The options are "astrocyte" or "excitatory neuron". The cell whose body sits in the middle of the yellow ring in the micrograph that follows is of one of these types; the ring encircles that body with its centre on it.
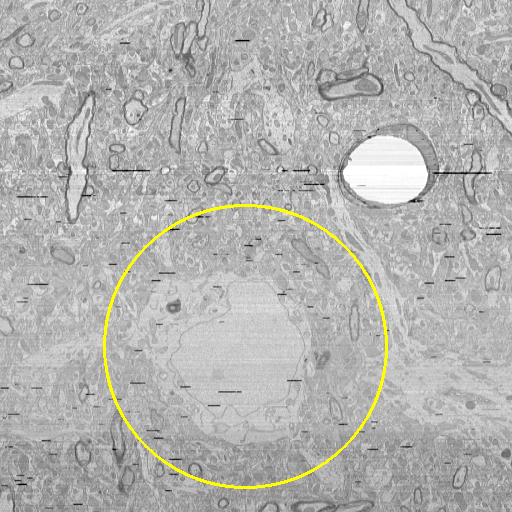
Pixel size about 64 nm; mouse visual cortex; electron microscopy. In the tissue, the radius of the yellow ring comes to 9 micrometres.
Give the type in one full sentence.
Going by the micrograph, the cell centred in the yellow ring is an excitatory neuron.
